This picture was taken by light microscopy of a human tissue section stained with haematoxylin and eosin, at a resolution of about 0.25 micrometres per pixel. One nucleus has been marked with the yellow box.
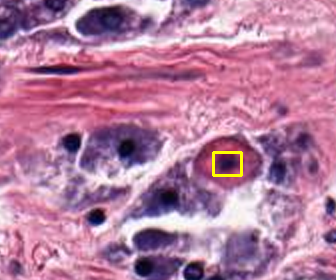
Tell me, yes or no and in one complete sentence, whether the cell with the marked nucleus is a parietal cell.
Yes, the marked nucleus is recognised as belonging to a parietal cell.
